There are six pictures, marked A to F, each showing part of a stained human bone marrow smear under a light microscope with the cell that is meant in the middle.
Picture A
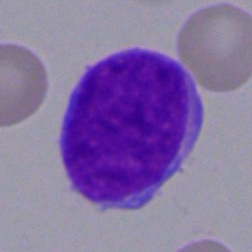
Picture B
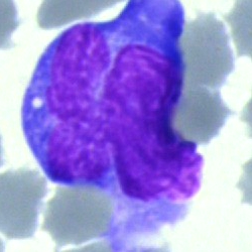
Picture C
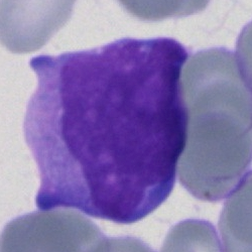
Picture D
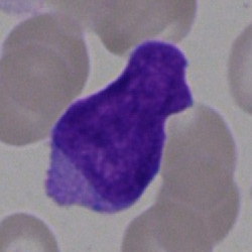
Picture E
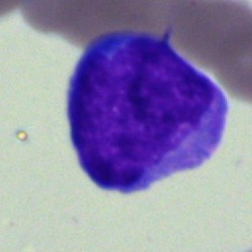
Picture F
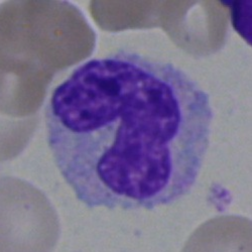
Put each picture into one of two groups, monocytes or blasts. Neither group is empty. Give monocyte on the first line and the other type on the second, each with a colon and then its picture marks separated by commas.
monocyte: B, F
blast: A, C, D, E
